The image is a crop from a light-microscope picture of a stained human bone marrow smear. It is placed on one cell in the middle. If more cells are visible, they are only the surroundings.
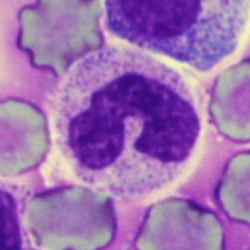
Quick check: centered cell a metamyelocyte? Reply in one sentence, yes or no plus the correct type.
No, not a metamyelocyte but a band neutrophil is the cell in the centre.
